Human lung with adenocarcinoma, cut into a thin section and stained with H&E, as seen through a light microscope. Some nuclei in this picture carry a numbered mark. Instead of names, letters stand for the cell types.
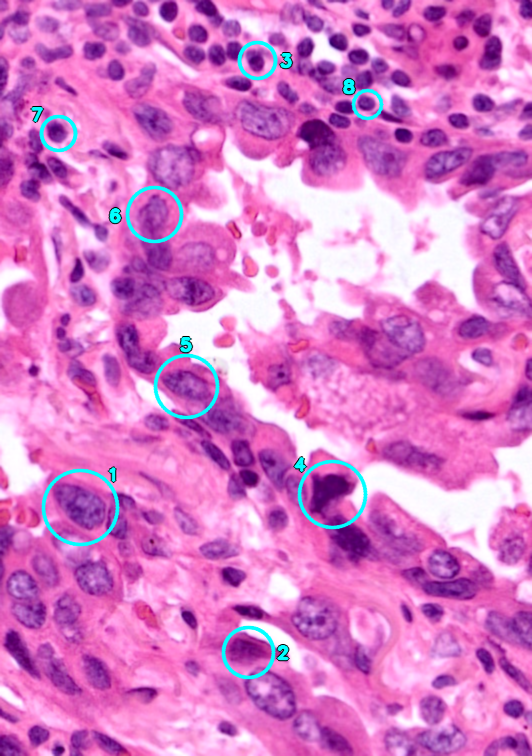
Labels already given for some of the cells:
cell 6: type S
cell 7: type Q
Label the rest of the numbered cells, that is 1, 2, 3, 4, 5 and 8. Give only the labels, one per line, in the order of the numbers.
type S
type S
type Q
type S
type S
type Q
